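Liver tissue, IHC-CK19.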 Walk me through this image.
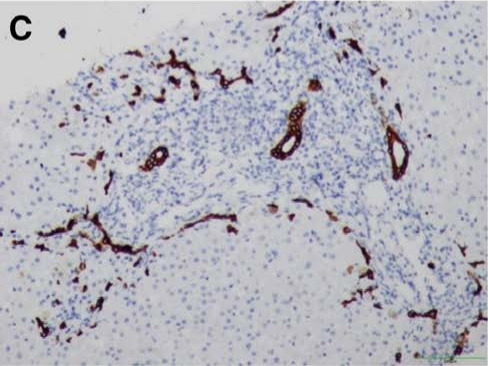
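Within a widened portal tract full of blue-stained nuclei, several round ducts lined by brown-stained cuboidal cells surround open lumens. Around the tract margin, numerous thin, irregular brown-stained ductular strands branch into the surrounding unstained hepatocytes. These are interlobular bile ducts with hyperplasia.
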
